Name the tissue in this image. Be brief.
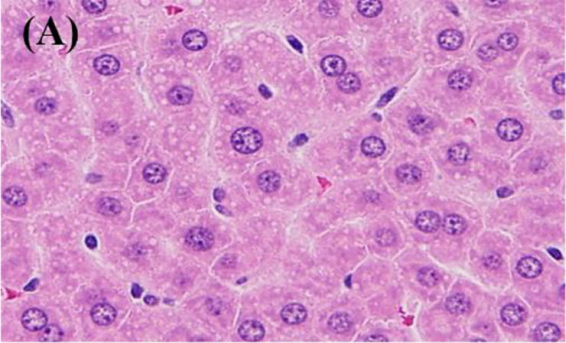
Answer: Liver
